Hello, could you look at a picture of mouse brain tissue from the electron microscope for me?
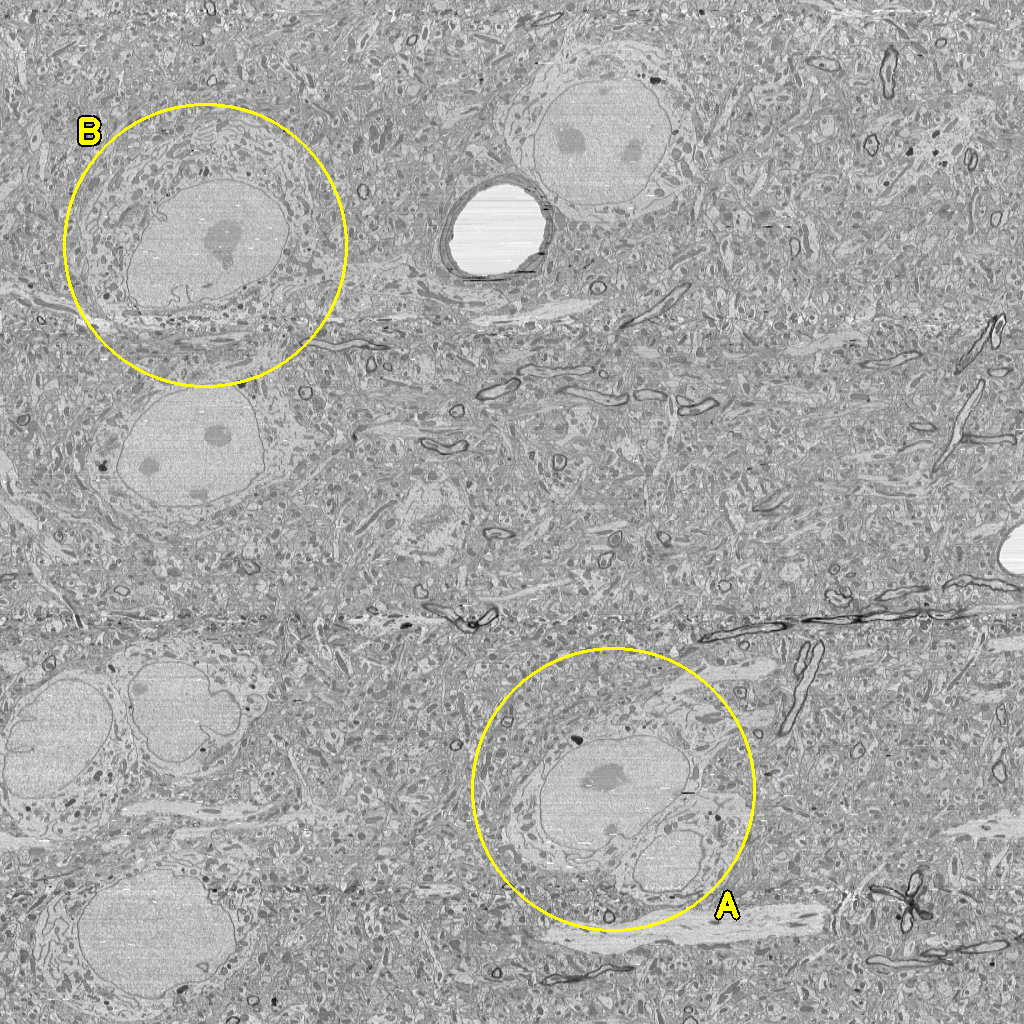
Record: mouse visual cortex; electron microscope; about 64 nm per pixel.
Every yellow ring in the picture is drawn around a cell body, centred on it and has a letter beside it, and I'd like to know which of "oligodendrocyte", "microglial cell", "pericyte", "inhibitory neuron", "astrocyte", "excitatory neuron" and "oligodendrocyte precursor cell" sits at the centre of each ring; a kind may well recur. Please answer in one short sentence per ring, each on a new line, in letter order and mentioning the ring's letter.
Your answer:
The cell sitting at the centre of ring A is an excitatory neuron.
The cell sitting at the centre of ring B is an inhibitory neuron.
